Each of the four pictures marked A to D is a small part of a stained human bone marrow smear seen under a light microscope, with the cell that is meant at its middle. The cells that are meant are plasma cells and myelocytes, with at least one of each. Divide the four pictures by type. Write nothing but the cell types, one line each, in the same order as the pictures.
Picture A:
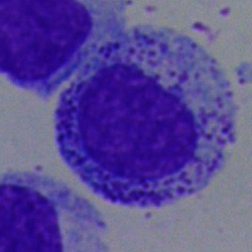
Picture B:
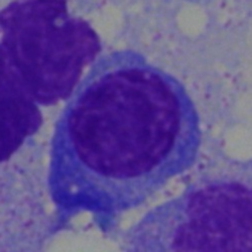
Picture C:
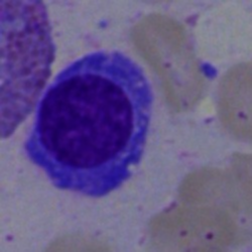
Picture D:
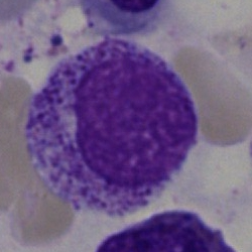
myelocyte
plasma cell
plasma cell
myelocyte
